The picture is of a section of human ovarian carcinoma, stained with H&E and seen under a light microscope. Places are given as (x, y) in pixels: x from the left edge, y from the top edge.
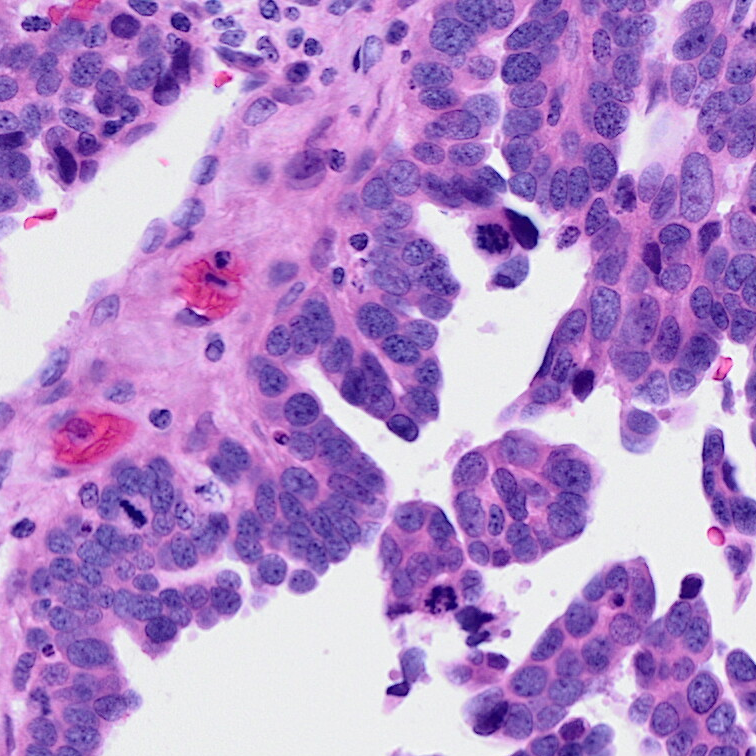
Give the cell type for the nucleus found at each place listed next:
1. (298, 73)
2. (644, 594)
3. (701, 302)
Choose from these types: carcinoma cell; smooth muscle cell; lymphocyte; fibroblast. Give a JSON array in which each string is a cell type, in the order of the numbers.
["lymphocyte", "carcinoma cell", "carcinoma cell"]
